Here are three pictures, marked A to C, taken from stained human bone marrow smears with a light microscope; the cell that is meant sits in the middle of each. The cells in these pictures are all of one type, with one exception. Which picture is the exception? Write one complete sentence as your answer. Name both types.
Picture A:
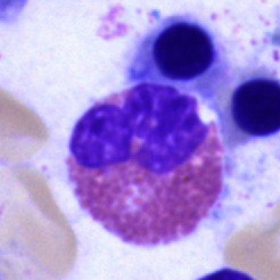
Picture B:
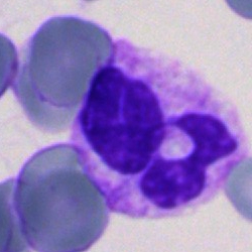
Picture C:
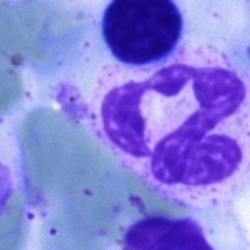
The different one is picture A; it shows an eosinophil, whereas all the others show segmented neutrophils.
